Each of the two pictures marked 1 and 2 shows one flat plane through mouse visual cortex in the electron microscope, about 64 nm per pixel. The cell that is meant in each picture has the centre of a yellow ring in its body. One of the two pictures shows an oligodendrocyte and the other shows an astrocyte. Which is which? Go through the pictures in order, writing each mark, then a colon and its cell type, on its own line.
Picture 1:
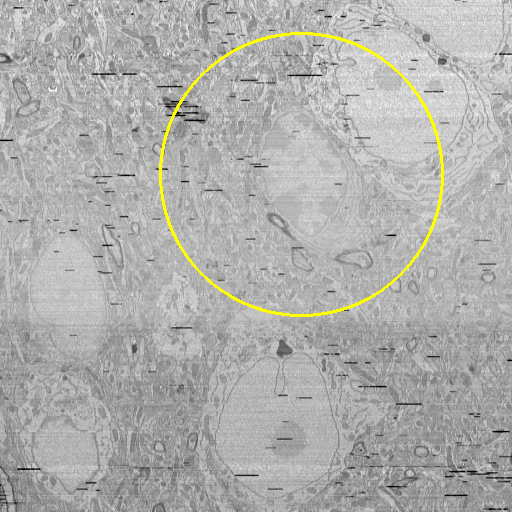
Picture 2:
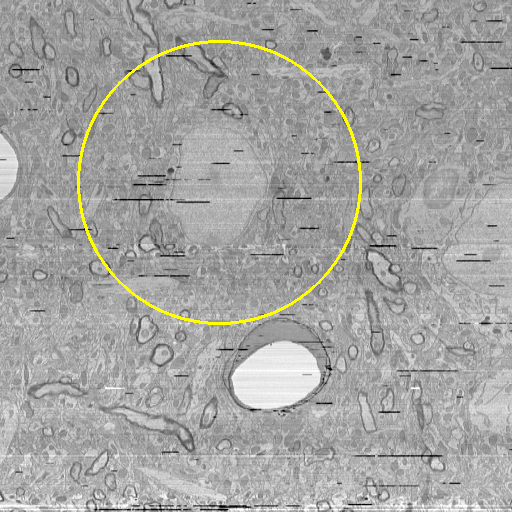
1: oligodendrocyte
2: astrocyte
